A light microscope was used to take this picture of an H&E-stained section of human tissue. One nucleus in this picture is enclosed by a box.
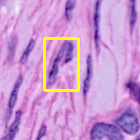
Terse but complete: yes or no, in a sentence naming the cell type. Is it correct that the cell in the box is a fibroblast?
Yes, the description of the cell in the box as a fibroblast is accurate.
